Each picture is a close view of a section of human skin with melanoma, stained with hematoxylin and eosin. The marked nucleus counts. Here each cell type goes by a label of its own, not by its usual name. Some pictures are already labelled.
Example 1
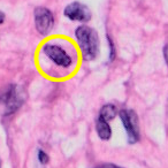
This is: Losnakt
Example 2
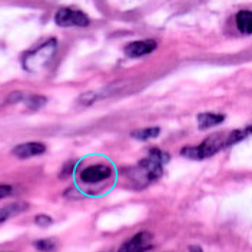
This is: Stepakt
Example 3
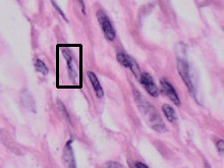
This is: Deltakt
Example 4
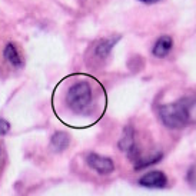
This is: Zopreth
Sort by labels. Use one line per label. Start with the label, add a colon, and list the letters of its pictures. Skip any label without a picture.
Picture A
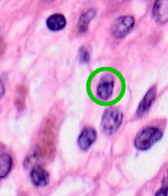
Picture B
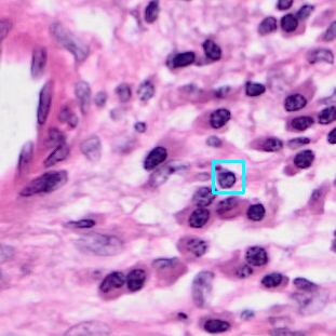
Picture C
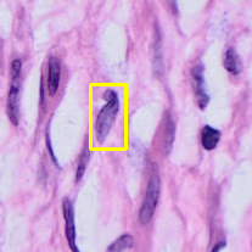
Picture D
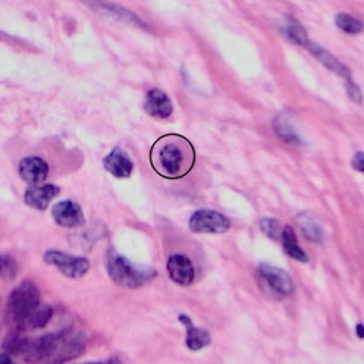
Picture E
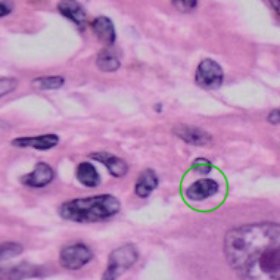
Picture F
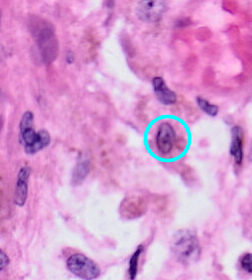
Losnakt: A, B, E
Stepakt: D
Zopreth: C, F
